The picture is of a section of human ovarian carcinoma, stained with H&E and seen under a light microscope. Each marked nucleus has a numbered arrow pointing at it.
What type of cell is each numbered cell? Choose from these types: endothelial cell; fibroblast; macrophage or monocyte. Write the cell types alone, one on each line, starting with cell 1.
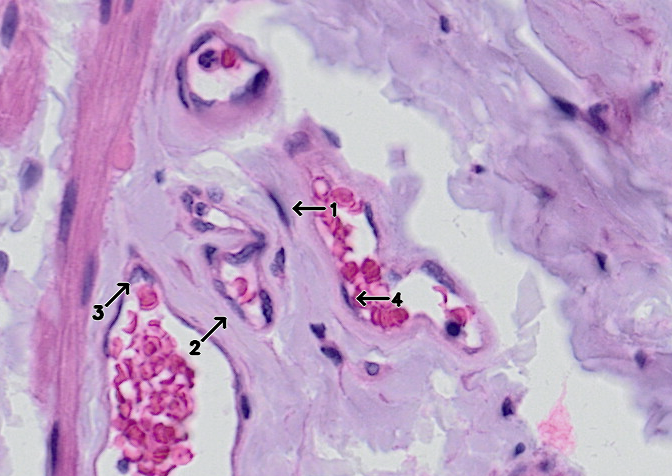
fibroblast
endothelial cell
endothelial cell
endothelial cell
